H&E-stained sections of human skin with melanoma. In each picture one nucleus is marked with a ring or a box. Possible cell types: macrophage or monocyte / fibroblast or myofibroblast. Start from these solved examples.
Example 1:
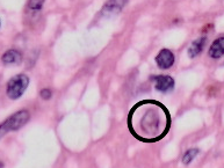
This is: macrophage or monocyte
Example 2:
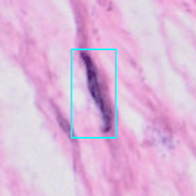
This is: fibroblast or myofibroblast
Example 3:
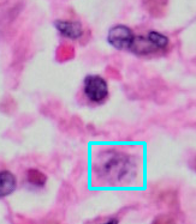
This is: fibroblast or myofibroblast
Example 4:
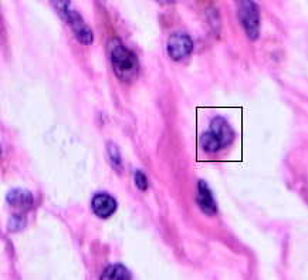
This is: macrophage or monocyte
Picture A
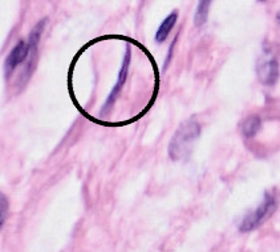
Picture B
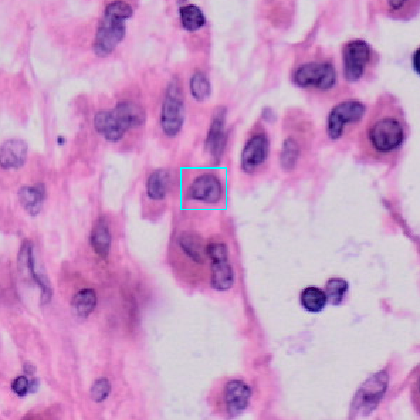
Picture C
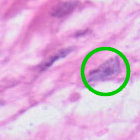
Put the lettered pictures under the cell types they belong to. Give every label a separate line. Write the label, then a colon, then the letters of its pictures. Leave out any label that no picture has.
macrophage or monocyte: B
fibroblast or myofibroblast: A, C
